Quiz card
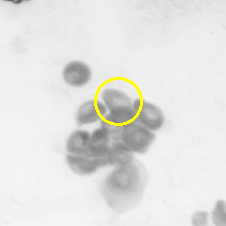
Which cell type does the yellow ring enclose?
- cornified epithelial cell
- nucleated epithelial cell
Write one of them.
nucleated epithelial cell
